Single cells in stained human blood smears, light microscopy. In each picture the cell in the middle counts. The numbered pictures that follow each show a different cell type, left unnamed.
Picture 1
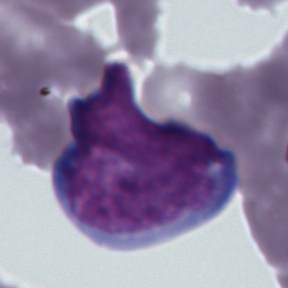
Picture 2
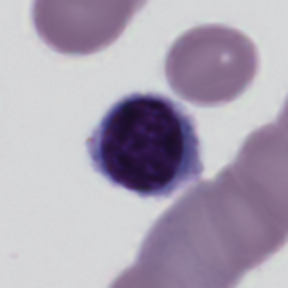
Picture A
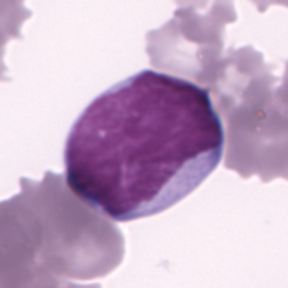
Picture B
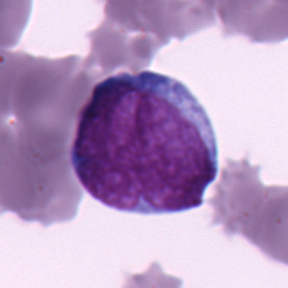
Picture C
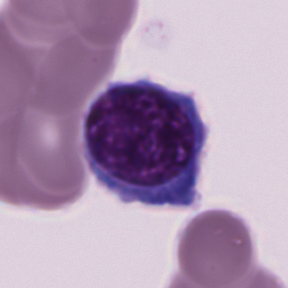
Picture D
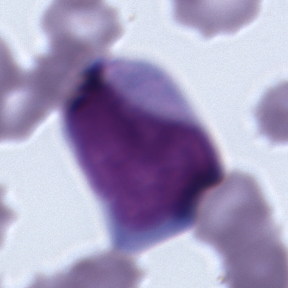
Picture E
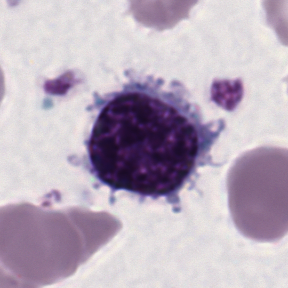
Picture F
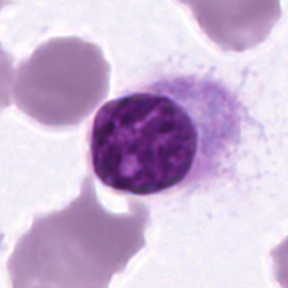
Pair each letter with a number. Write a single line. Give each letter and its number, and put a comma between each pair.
A 1, B 1, C 2, D 1, E 2, F 2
